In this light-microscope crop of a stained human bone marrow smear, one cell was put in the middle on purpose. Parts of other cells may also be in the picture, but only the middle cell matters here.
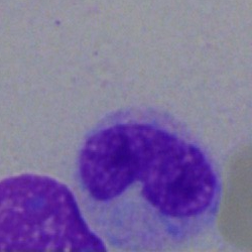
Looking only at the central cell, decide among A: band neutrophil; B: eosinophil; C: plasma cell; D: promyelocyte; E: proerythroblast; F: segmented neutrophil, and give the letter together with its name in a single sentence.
The cell placed in the middle is a band neutrophil; option A is correct.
